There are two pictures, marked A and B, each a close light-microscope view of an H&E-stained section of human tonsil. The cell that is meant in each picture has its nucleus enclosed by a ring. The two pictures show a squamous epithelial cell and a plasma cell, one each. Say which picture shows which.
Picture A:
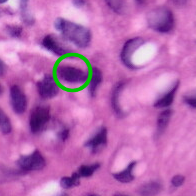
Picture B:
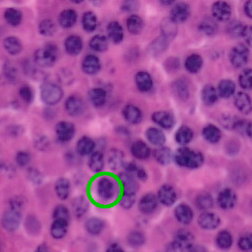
A: squamous epithelial cell
B: plasma cell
